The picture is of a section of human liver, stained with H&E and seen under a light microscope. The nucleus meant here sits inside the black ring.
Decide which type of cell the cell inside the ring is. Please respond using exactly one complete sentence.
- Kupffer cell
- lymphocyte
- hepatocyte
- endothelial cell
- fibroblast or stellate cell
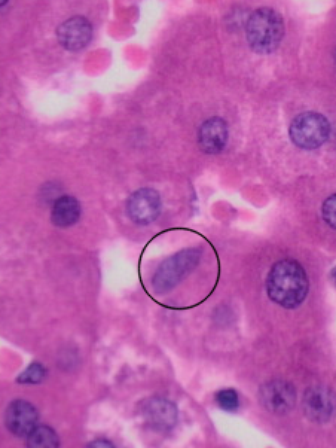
In cellular terms, the cell inside the ring is a Kupffer cell.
